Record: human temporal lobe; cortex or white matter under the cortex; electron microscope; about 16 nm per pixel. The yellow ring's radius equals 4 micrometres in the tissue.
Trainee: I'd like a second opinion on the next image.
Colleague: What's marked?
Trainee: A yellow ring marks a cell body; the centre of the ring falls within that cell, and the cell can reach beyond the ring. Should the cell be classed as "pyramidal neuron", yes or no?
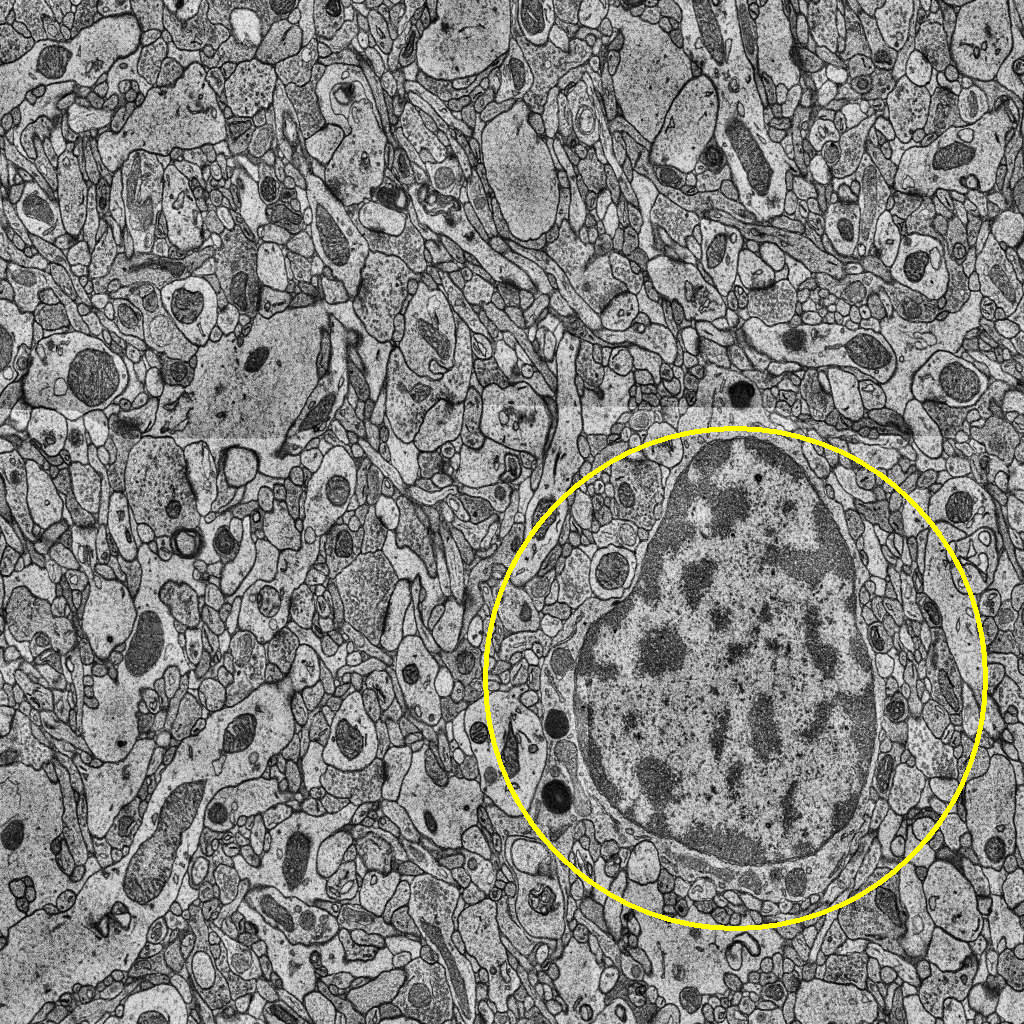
No, it should be classed as another kind.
